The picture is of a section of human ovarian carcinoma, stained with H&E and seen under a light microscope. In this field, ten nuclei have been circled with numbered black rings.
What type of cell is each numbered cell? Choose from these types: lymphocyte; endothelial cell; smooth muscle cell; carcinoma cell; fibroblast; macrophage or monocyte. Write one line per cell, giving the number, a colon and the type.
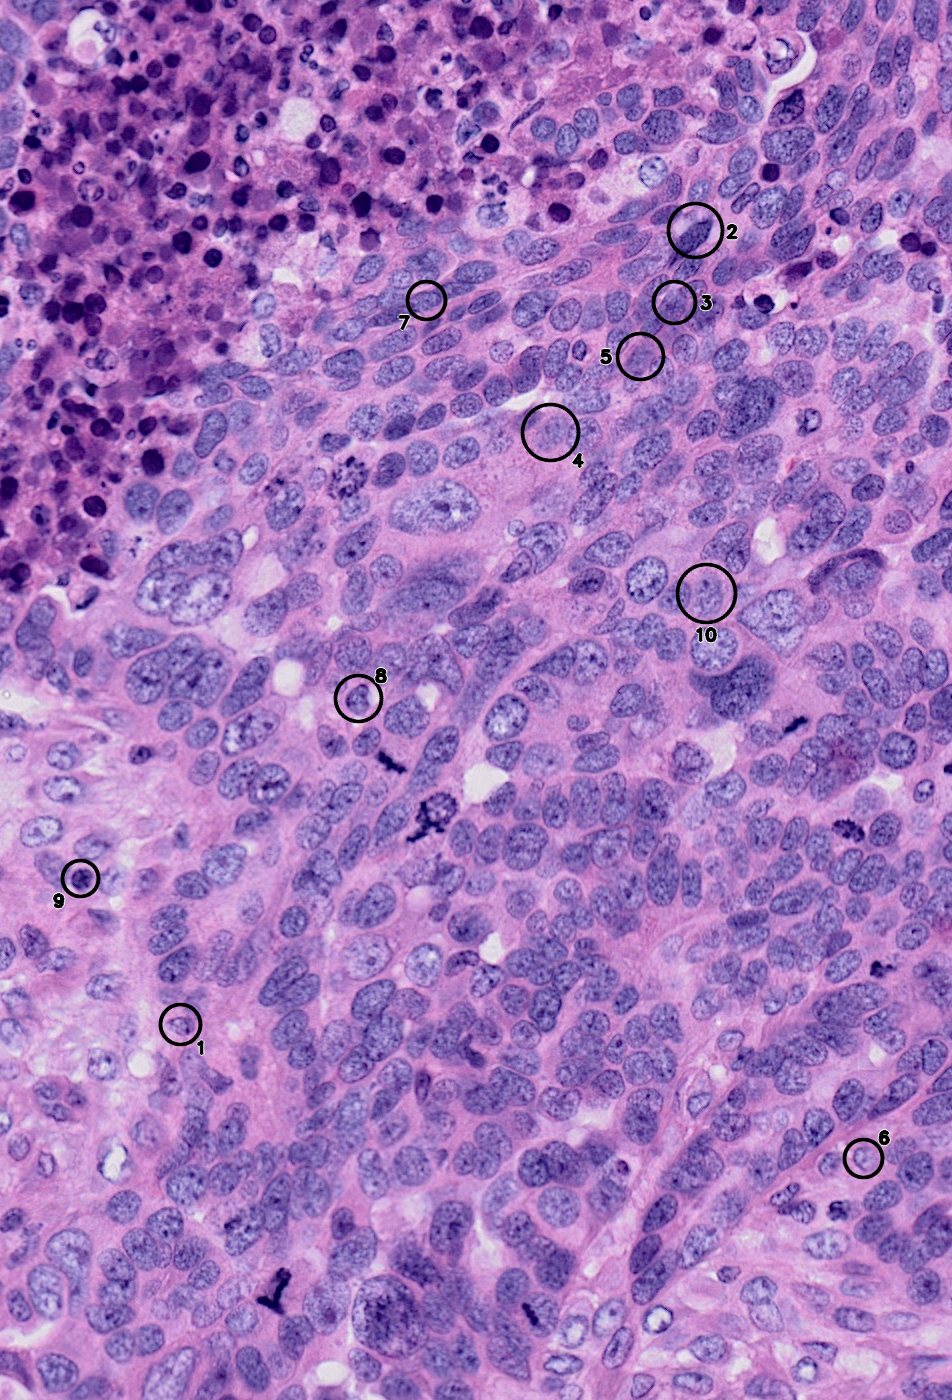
1: macrophage or monocyte
2: carcinoma cell
3: carcinoma cell
4: carcinoma cell
5: carcinoma cell
6: fibroblast
7: carcinoma cell
8: macrophage or monocyte
9: lymphocyte
10: carcinoma cell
